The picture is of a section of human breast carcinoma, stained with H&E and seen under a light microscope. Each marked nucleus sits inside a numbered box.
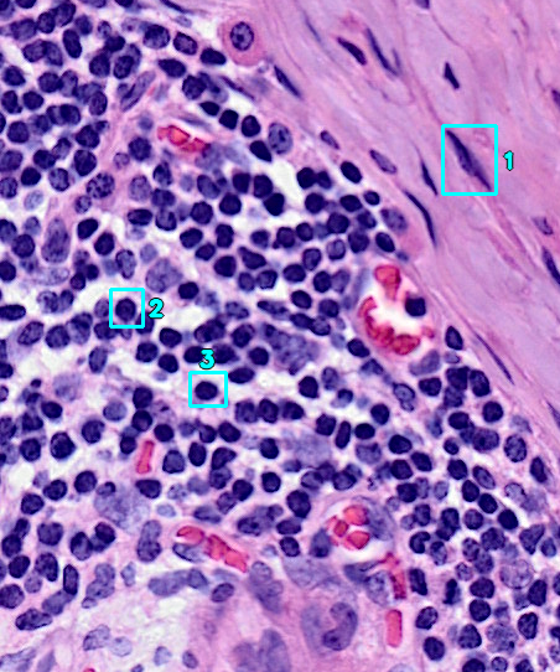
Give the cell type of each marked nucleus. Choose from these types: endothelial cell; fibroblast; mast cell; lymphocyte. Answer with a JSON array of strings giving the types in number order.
["fibroblast", "lymphocyte", "lymphocyte"]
